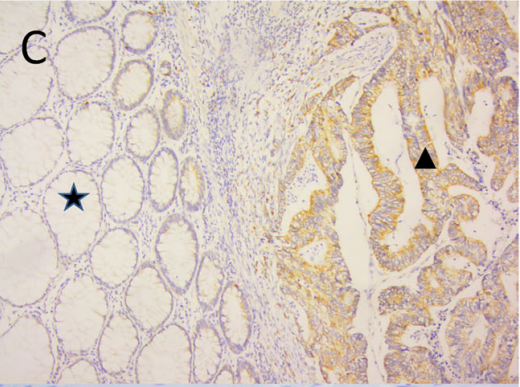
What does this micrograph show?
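On the left lies non-cancerous colonic mucosa, and on the right a tumor made of malignant glands. The normal crypts are round, evenly spaced and cut across, each lined by a single layer of cells packed with pale, clear goblet cells, with small nuclei pushed to the base. Between the crypts is a thin band of lamina propria. The tumor glands on the right are irregular, elongated and branching, lined by tall cells with crowded, stacked nuclei, and their cytoplasm takes up a clear brown stain. The contrast between the pale, orderly crypts and the brown, disorderly glands across the middle stroma is the thing to notice.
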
